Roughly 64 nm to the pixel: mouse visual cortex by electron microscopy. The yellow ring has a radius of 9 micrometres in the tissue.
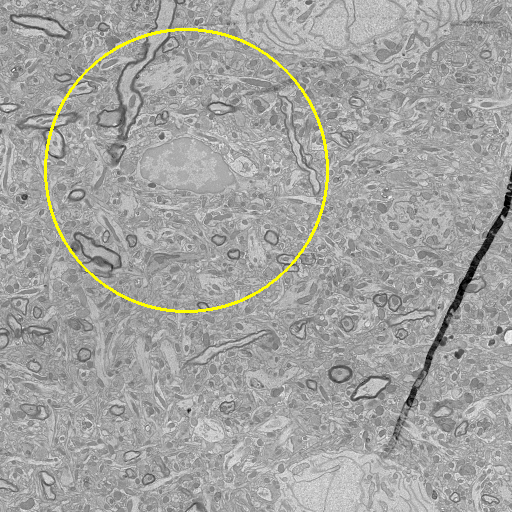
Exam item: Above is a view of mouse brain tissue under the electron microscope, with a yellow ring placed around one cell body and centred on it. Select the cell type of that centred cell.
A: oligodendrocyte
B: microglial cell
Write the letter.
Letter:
B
